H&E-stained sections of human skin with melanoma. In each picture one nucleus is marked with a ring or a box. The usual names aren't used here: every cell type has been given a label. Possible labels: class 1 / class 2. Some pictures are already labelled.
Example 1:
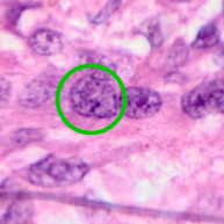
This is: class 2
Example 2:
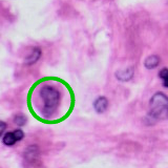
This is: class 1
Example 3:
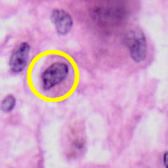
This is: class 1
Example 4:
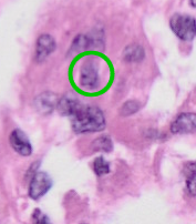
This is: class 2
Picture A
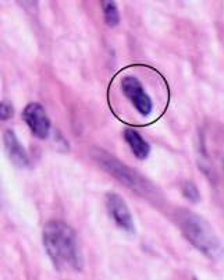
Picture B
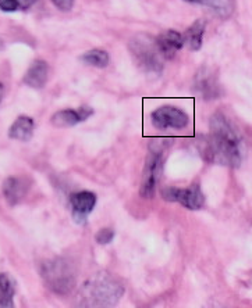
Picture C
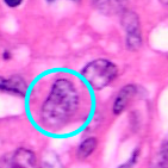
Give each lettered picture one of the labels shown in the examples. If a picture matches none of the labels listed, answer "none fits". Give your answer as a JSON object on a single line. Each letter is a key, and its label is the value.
{"A": "none fits", "B": "none fits", "C": "class 2"}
